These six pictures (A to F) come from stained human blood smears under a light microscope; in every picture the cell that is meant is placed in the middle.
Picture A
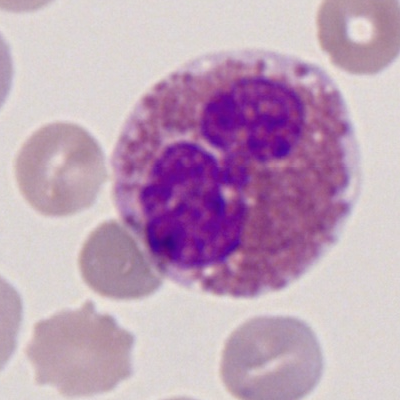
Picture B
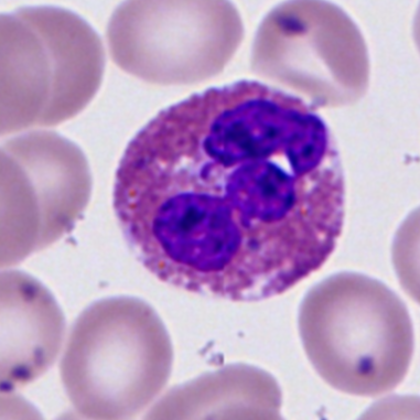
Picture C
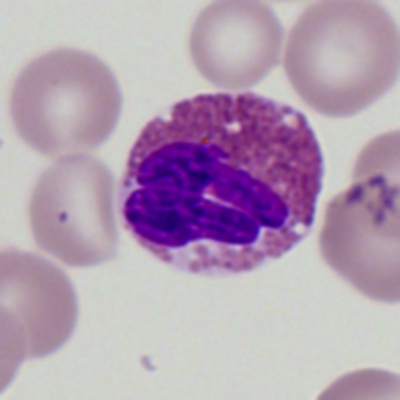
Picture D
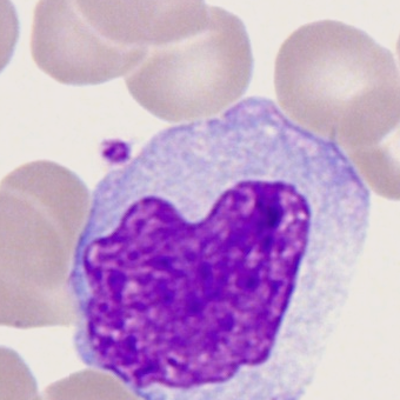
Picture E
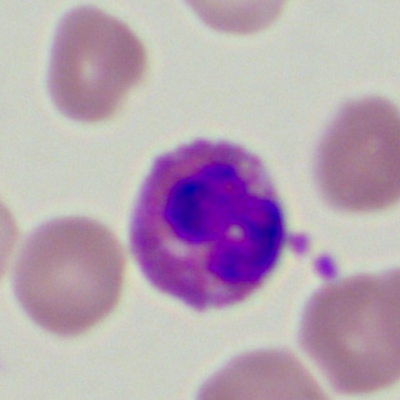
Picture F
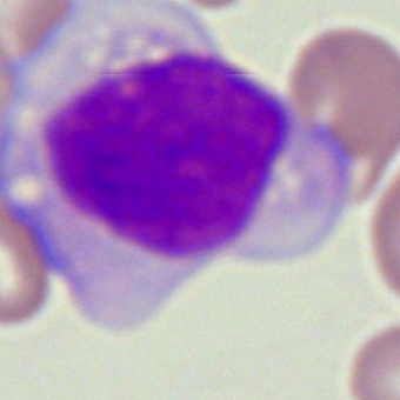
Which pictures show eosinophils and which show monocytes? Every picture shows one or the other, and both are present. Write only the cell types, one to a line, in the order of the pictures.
eosinophil
eosinophil
eosinophil
monocyte
eosinophil
monocyte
